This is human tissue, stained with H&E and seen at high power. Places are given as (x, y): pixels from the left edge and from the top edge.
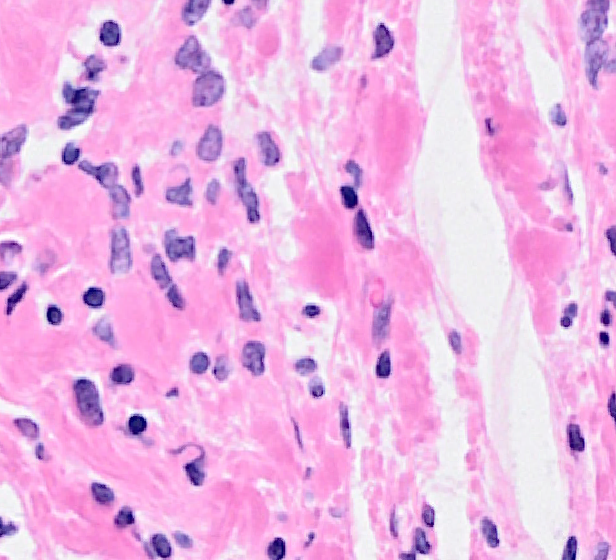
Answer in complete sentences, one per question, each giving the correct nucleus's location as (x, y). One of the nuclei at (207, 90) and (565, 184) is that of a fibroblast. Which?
So, of the two, the nucleus at (565, 184) is the one belonging to a fibroblast.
